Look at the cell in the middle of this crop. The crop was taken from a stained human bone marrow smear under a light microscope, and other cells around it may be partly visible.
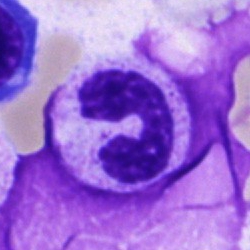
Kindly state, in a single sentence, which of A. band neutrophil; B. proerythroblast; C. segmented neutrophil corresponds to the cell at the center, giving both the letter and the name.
It is a band neutrophil that occupies the centre of the crop, so option A is correct.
